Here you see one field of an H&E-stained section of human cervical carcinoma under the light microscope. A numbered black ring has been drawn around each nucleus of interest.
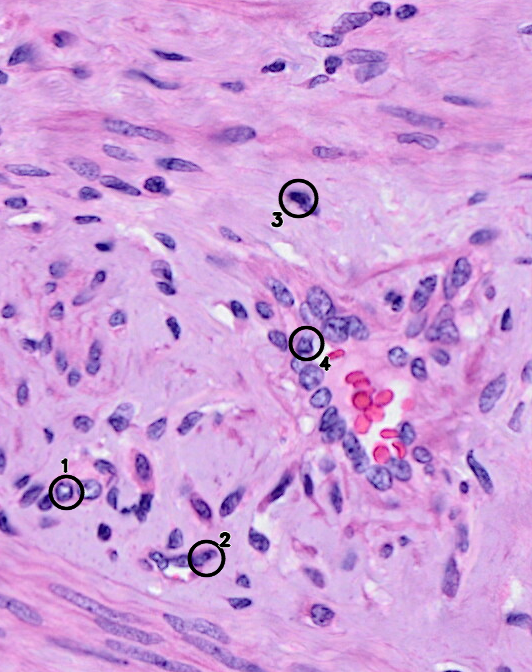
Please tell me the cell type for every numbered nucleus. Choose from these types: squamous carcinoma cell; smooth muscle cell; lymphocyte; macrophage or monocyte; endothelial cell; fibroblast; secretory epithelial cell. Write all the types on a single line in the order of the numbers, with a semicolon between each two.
endothelial cell; endothelial cell; lymphocyte; endothelial cell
